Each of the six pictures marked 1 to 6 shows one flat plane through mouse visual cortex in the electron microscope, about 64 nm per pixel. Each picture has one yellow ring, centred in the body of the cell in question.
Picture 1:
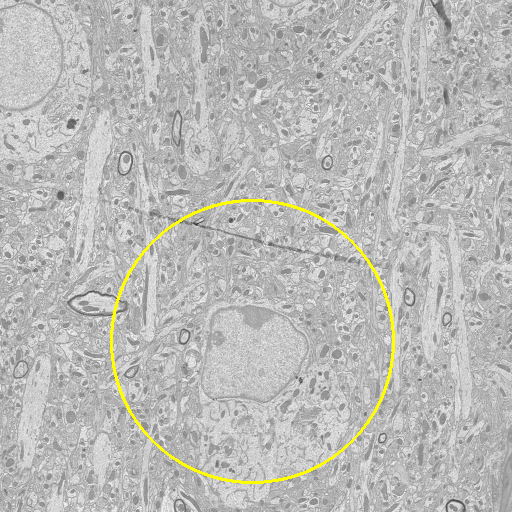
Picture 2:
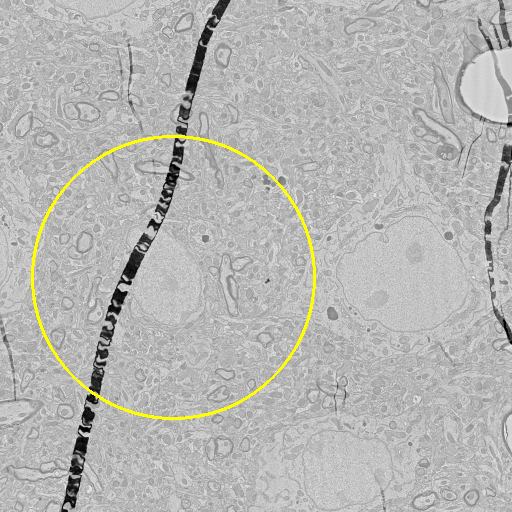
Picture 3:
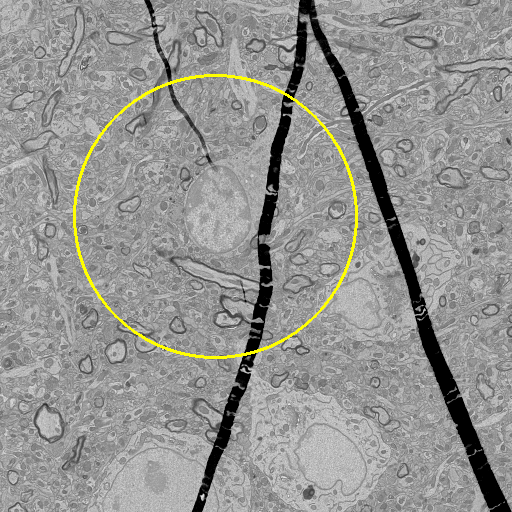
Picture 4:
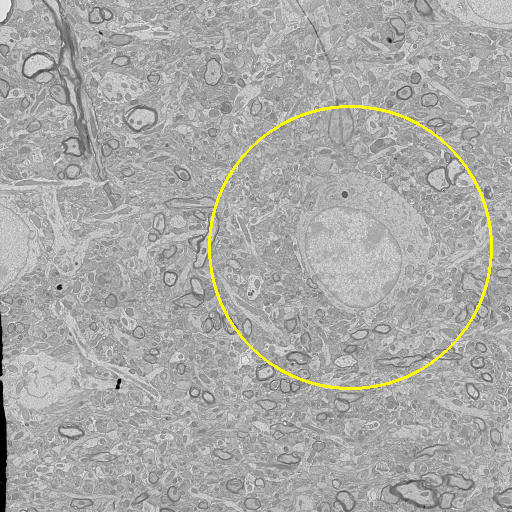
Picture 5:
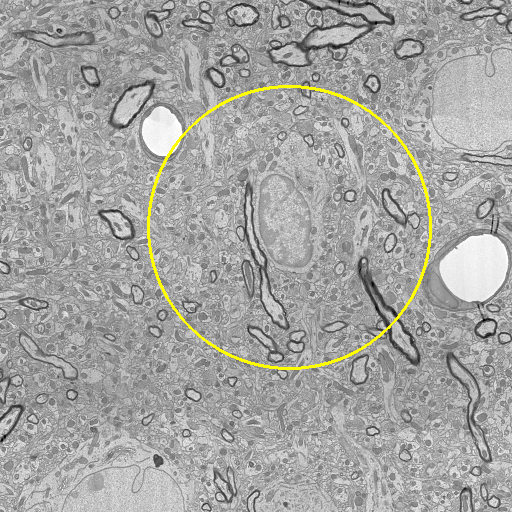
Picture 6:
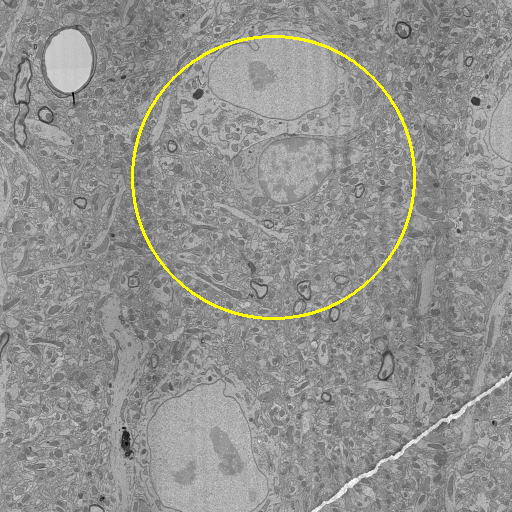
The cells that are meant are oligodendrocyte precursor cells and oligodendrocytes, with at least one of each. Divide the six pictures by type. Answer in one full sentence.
Pictures 1 and 2 show oligodendrocyte precursor cells, and pictures 3, 4, 5 and 6 show oligodendrocytes.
